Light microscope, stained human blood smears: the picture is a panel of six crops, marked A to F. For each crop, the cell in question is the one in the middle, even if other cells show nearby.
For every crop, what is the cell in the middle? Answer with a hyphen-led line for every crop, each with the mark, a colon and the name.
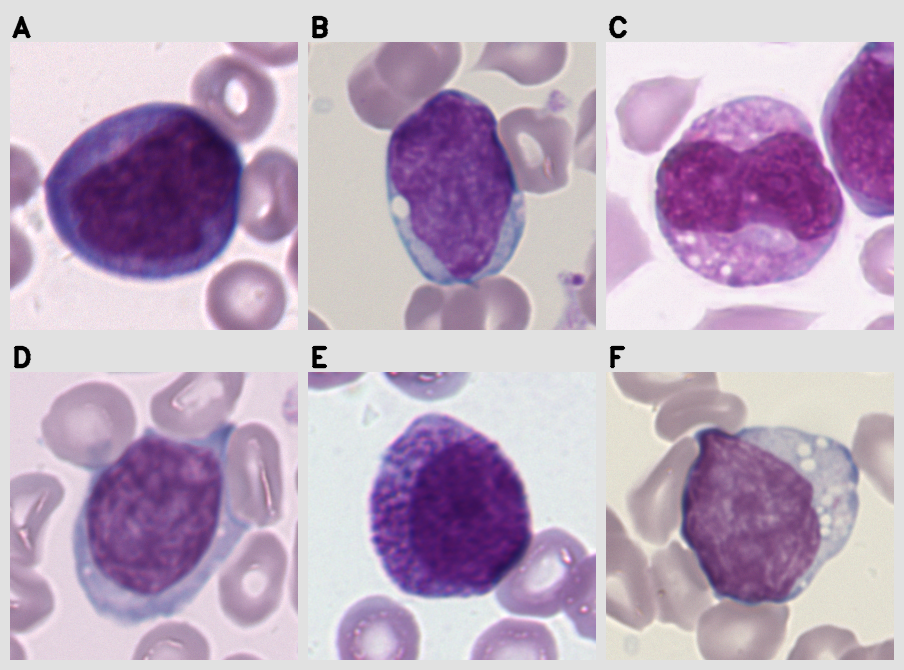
- A: promyelocyte
- B: myeloblast
- C: atypical promyelocyte
- D: myeloblast
- E: promyelocyte
- F: myeloblast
